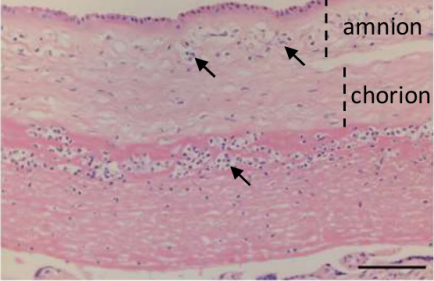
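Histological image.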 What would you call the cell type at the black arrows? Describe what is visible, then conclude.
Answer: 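Small cells with dark purple, compact nuclei lie scattered and in bands within the pink connective tissue of the membrane. These cells are much smaller than the surrounding tissue elements and cluster where the arrows point. The answer: Neutrophilic granulocytes.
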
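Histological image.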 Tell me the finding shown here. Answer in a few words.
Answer: chorioamnionitis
